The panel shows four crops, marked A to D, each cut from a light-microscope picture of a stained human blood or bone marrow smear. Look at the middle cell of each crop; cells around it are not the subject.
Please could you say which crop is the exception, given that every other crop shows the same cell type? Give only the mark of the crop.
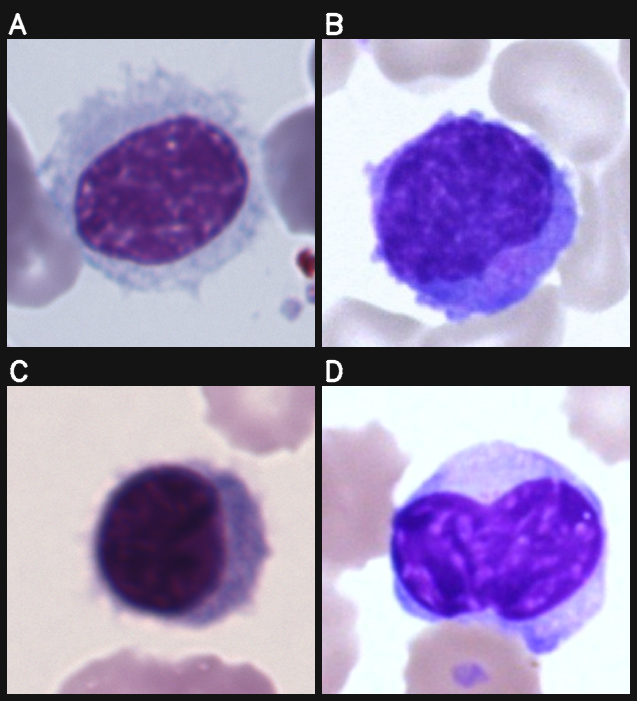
B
